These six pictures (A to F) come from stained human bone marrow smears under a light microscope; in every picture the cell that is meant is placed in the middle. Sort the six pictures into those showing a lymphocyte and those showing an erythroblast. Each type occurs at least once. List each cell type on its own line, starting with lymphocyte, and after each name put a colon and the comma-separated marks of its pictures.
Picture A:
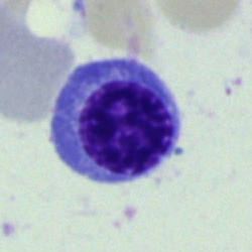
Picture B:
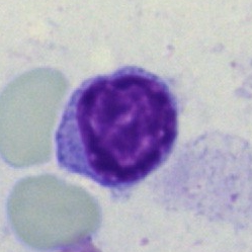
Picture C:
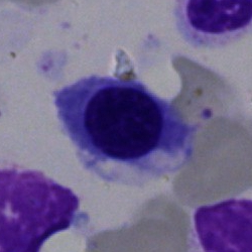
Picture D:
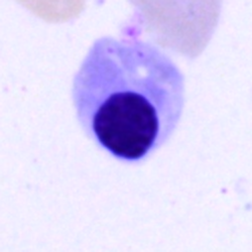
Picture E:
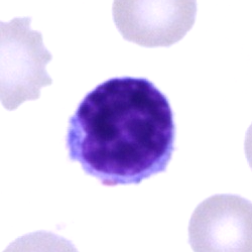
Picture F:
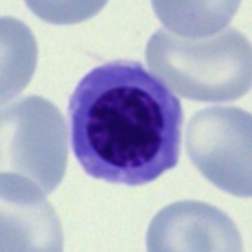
lymphocyte: B, E
erythroblast: A, C, D, F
